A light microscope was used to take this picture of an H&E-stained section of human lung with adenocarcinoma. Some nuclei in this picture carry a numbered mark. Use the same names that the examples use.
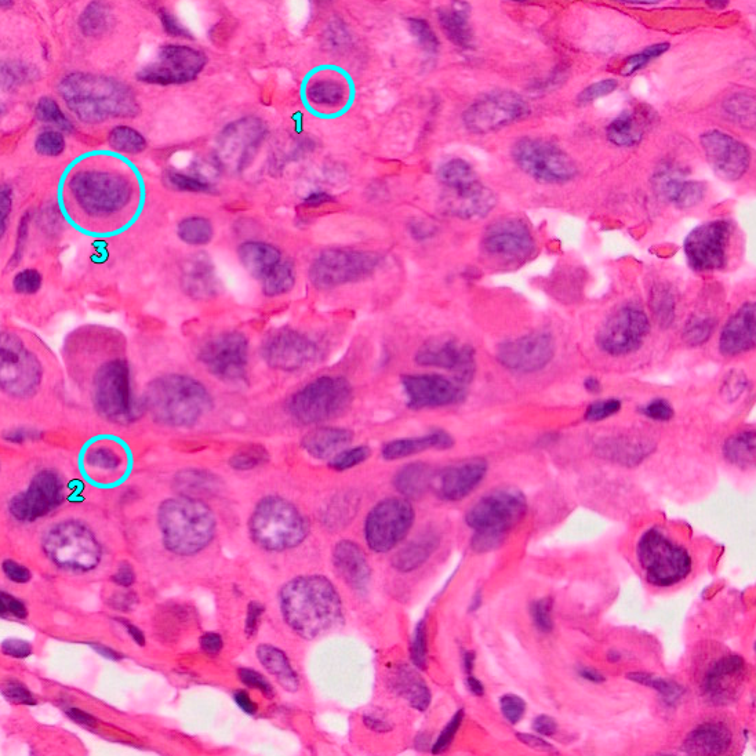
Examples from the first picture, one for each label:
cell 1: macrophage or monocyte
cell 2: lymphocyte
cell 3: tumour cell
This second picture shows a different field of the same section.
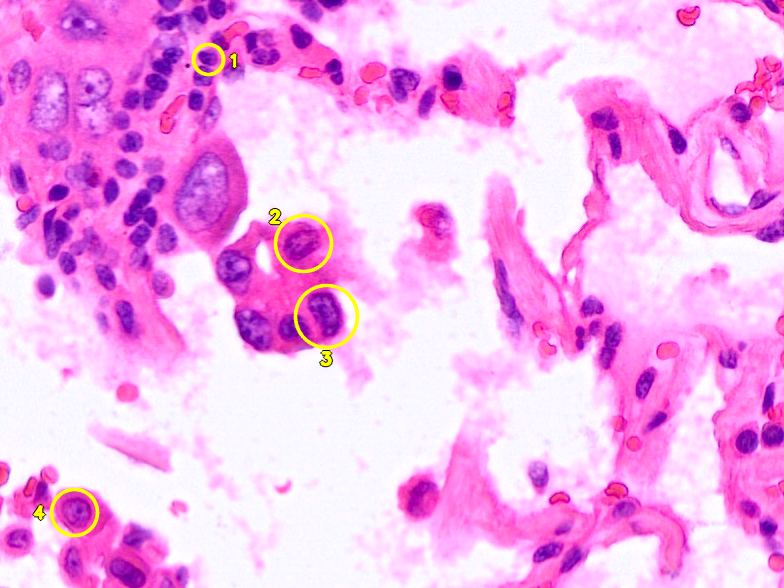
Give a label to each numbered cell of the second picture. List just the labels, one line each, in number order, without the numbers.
lymphocyte
tumour cell
tumour cell
macrophage or monocyte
